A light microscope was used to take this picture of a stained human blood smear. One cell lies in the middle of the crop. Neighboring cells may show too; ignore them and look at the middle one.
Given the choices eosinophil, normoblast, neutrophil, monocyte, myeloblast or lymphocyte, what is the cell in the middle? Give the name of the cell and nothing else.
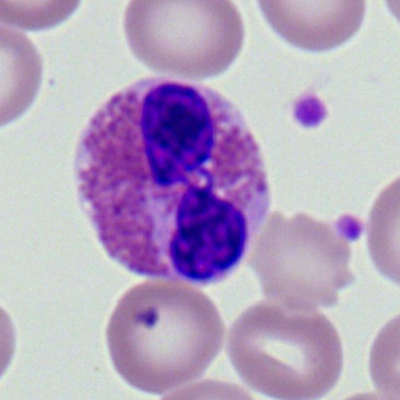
eosinophil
